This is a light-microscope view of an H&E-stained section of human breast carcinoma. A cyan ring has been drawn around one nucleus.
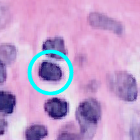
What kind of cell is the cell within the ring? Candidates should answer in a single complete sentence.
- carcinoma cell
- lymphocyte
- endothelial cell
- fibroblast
The cell type of the cell within the ring is that of a lymphocyte.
